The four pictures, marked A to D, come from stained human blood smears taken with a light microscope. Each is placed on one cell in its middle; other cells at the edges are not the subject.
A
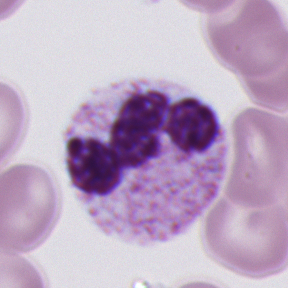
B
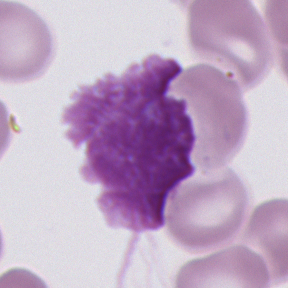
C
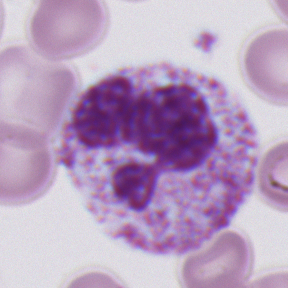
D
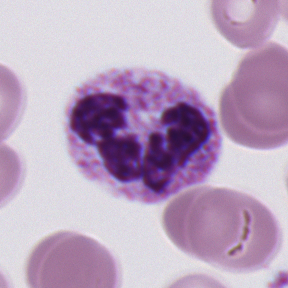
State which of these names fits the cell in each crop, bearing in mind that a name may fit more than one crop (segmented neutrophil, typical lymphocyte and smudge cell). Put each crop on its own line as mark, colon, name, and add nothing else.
A: segmented neutrophil
B: smudge cell
C: segmented neutrophil
D: segmented neutrophil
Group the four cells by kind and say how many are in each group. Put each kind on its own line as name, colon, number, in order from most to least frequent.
segmented neutrophil: 3
smudge cell: 1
